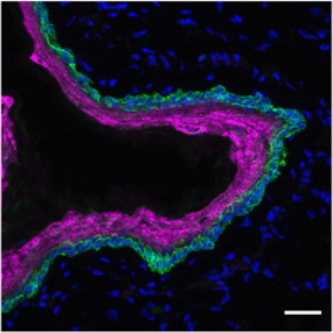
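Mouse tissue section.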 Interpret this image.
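Section of a folded stratified epithelium with a thin green band of basal cells along its deep border. A thick magenta layer covers the upper, luminal side of the epithelium. Blue nuclei are scattered in the underlying connective tissue.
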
